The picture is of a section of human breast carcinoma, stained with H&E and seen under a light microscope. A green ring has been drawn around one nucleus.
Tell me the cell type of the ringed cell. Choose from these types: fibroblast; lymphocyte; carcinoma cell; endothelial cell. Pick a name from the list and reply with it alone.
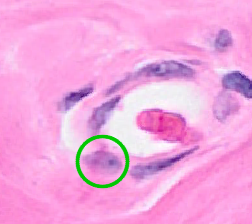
endothelial cell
